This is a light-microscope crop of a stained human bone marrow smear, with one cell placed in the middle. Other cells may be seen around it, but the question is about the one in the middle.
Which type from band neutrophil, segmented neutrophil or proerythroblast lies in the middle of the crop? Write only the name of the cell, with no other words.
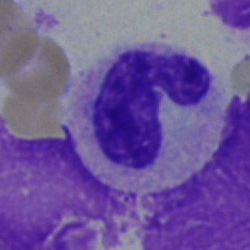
band neutrophil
